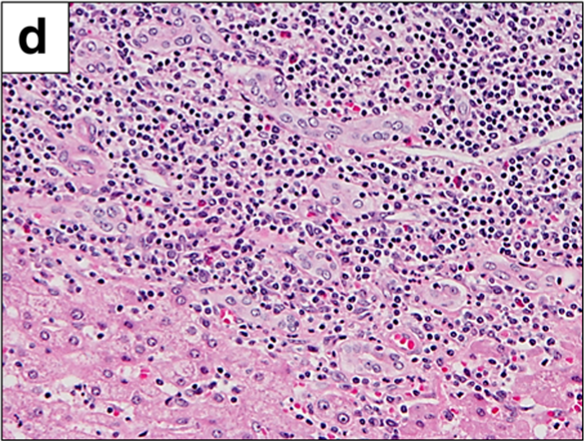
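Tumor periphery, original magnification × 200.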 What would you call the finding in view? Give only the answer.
ductular reaction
